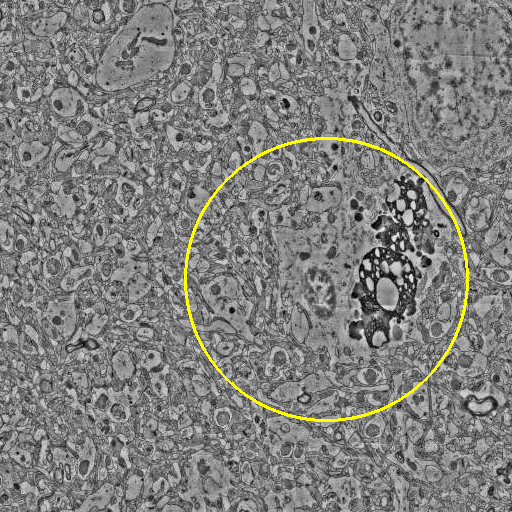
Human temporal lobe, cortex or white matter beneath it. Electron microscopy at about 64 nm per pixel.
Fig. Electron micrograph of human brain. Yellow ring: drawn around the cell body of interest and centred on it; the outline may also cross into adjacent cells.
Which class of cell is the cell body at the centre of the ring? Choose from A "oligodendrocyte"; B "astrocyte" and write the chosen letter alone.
B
